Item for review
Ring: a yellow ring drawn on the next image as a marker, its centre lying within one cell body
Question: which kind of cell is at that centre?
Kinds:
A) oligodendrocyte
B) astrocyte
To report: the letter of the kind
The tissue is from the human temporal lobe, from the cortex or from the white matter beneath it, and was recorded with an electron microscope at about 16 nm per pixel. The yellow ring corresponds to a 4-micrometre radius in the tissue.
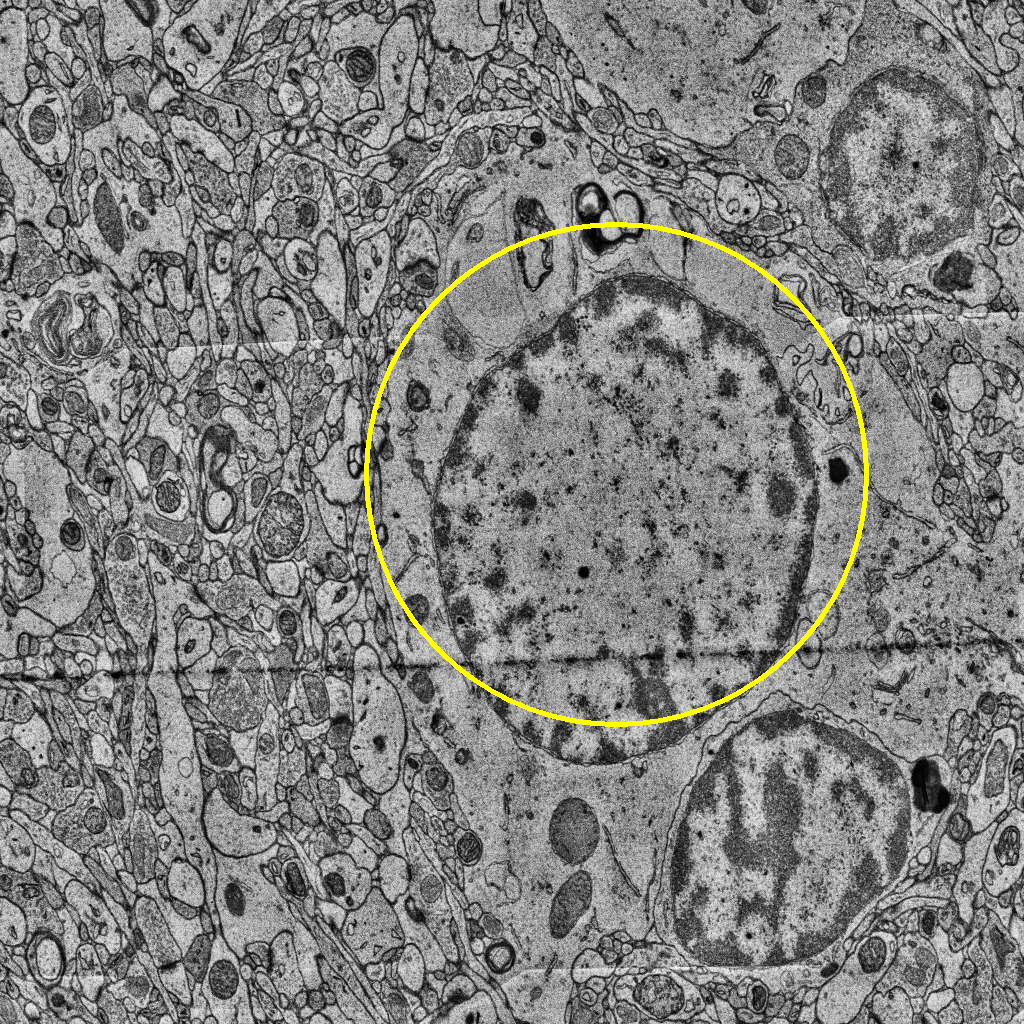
B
